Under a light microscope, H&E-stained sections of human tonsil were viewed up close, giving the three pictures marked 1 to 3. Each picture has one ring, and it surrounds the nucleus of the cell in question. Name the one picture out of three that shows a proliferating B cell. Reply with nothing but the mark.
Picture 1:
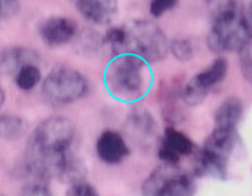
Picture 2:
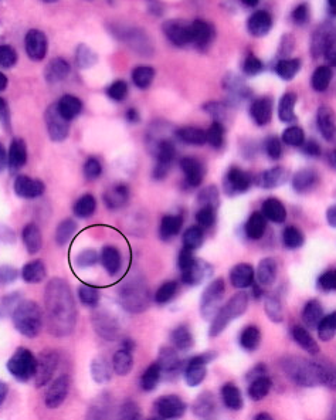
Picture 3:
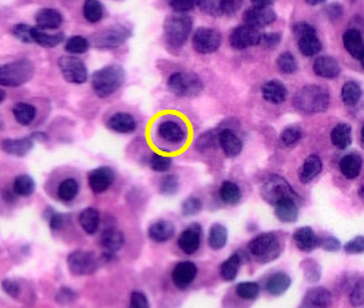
1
